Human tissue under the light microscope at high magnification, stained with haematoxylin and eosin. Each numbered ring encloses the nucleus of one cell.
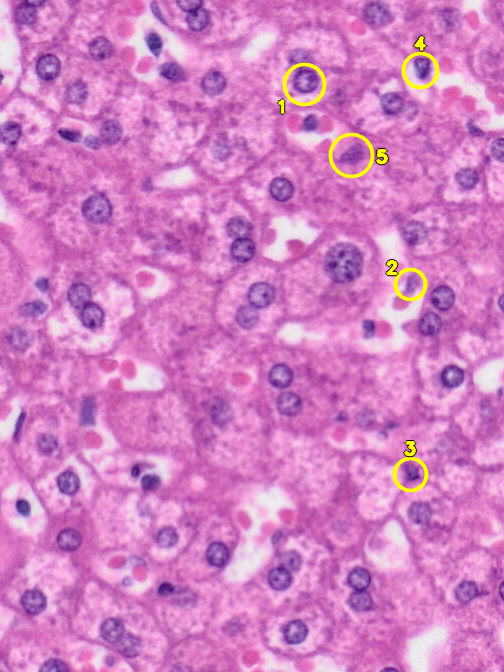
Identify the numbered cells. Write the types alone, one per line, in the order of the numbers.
hepatocyte
Kupffer cell
fibroblast or stellate cell
Kupffer cell
endothelial cell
